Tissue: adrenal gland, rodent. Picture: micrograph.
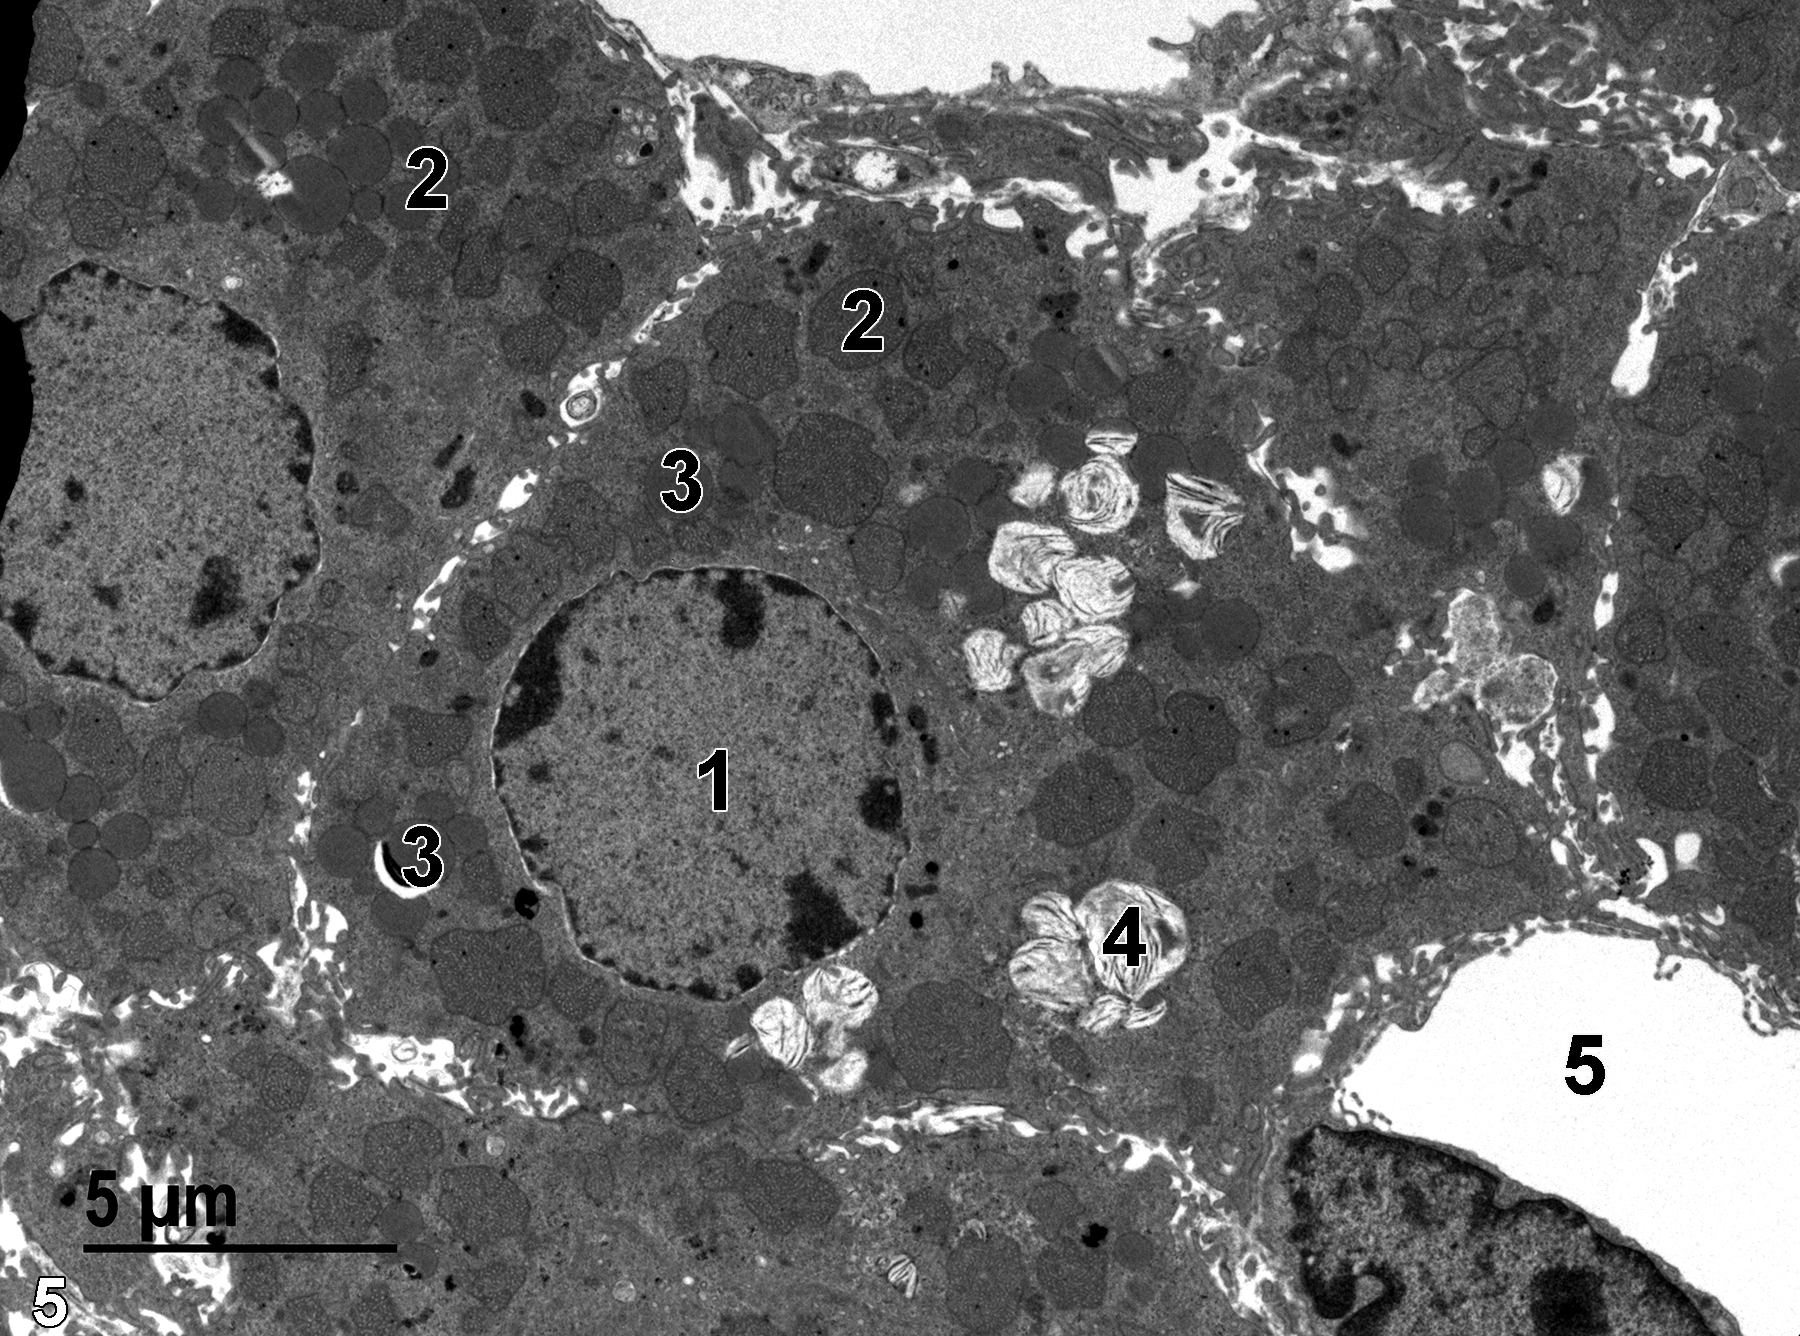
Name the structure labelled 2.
2 marks the mitochondria.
